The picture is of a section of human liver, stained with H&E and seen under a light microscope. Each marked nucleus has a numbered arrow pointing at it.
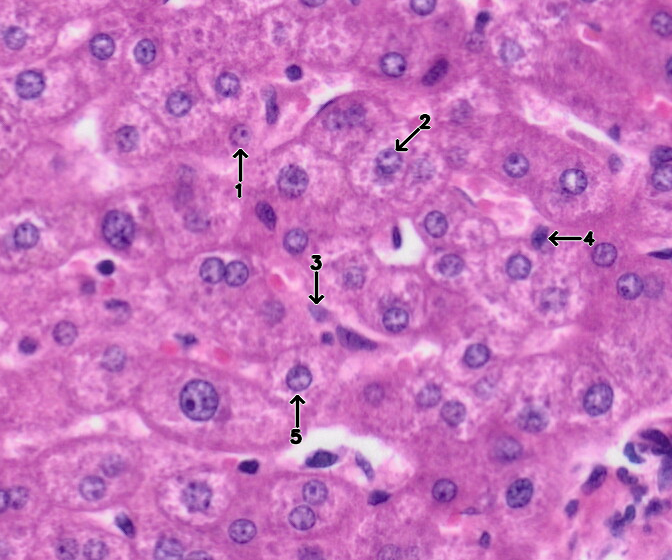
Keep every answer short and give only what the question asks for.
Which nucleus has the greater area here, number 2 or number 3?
2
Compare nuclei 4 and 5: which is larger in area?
5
